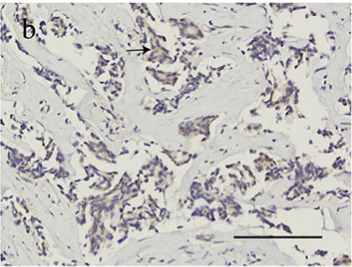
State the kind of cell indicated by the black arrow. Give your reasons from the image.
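The arrow points to a small cluster of dark crowded cells. Small cell clusters and cords are scattered in abundant pale collagenous stroma. That points to this answer: tumor cells.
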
